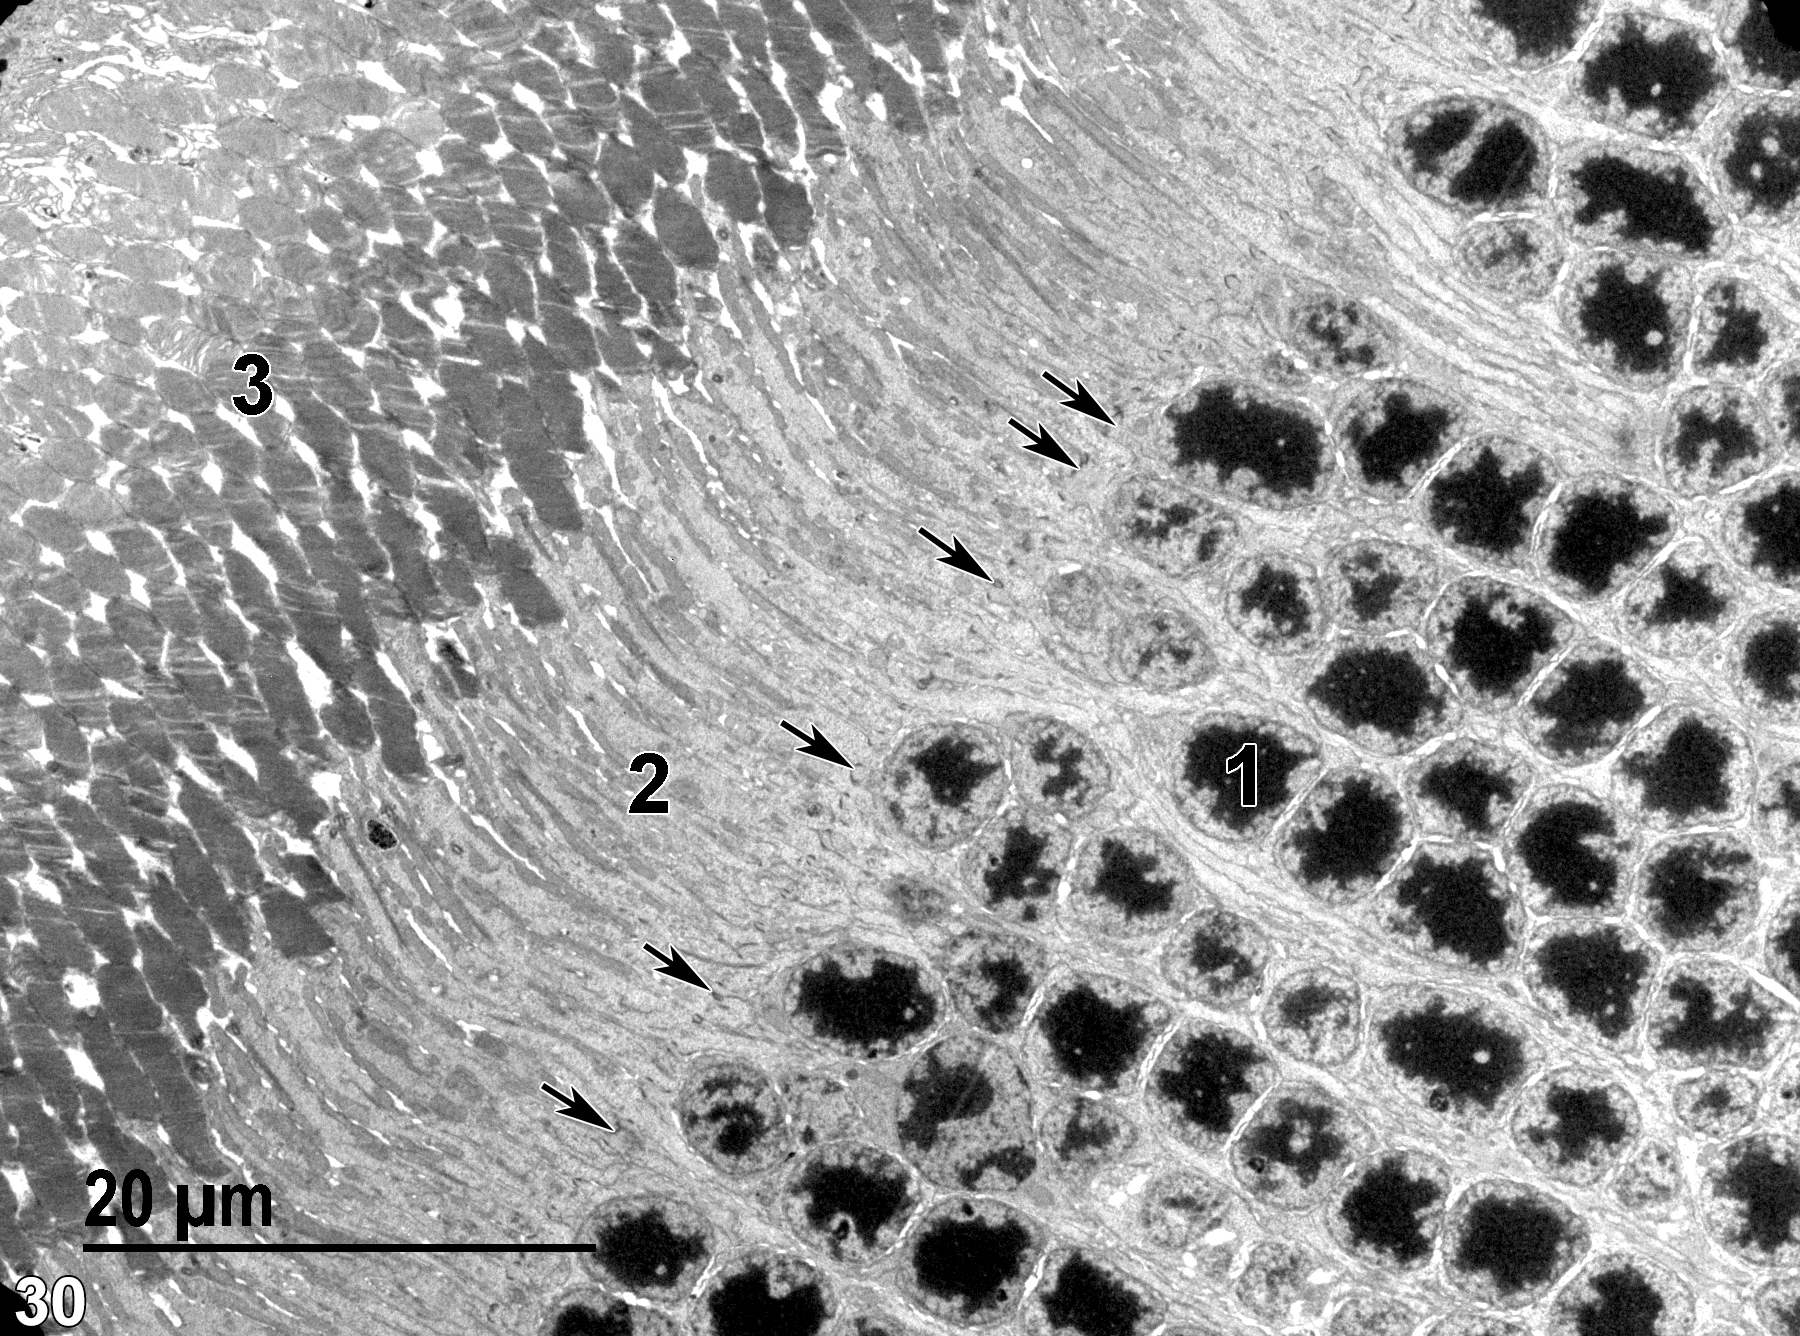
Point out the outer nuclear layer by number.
It's 1.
